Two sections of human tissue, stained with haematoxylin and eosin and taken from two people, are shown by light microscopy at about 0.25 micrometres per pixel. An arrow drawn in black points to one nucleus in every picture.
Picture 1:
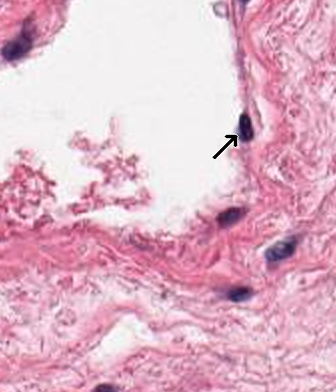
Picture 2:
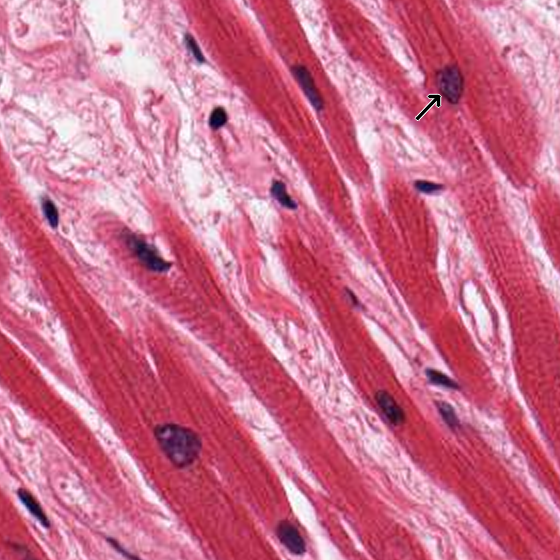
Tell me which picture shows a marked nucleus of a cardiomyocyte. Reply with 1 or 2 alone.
2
